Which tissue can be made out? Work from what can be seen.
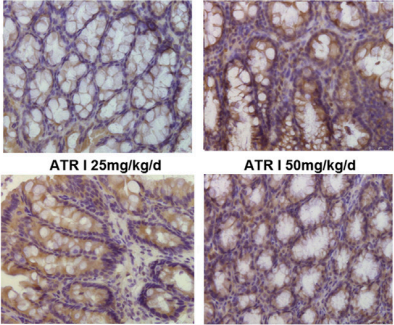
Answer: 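Glandular crypts cut in cross section as round rings of epithelium. Crypt epithelium rich in pale, vacuolated goblet cells. Cellular connective tissue with many nuclei lies between the crypts. On this evidence: colonic tissue.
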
